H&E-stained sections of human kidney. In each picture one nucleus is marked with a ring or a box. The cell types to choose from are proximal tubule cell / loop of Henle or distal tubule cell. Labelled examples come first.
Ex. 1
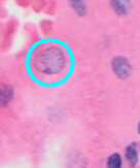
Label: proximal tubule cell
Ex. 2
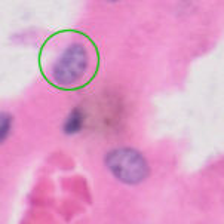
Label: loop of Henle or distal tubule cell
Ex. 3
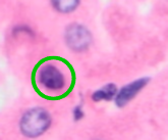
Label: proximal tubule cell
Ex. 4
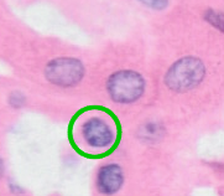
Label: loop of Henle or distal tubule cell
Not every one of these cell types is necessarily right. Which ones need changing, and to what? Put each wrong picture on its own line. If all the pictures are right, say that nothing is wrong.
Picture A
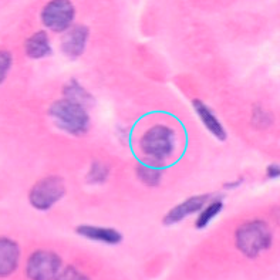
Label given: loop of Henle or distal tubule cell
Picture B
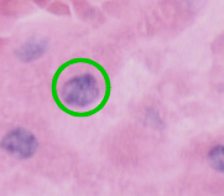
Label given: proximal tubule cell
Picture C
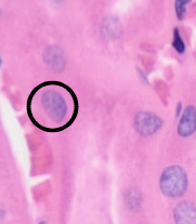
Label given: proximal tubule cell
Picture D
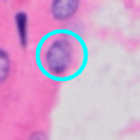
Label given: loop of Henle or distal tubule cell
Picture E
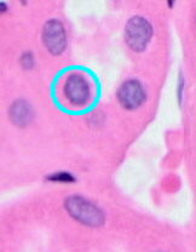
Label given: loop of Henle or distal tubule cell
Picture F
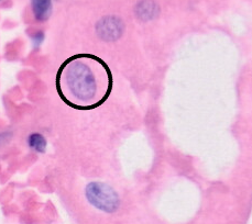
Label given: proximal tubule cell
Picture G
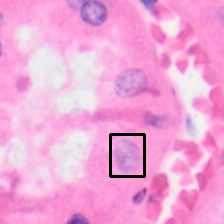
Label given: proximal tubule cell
All labels are correct.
